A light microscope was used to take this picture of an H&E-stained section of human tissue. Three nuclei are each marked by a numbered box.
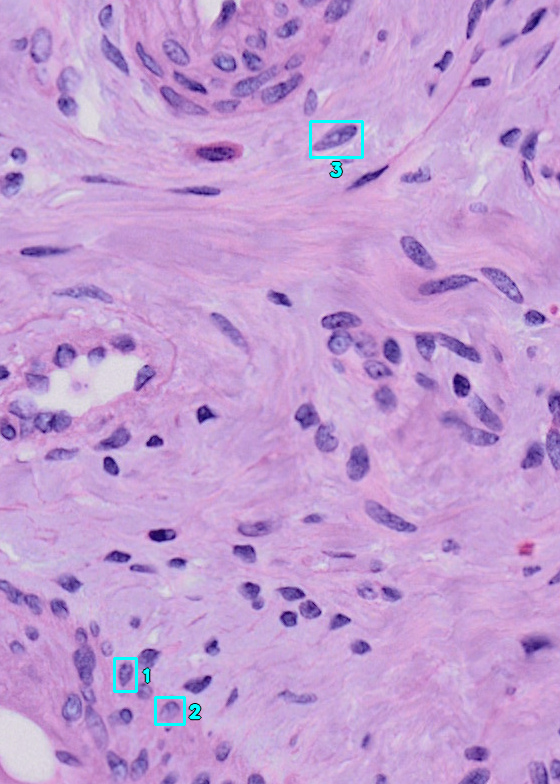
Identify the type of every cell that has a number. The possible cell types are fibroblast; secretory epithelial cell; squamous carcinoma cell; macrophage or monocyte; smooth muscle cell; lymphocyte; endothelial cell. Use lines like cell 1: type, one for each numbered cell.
cell 1: smooth muscle cell
cell 2: smooth muscle cell
cell 3: fibroblast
